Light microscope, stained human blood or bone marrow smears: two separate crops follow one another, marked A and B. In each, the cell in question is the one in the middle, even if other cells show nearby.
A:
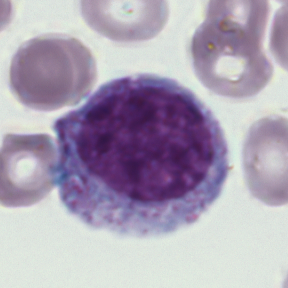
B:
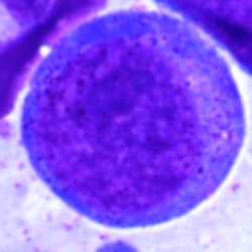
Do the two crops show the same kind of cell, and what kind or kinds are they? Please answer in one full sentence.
Yes, the two crops show promyelocytes, both of them.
